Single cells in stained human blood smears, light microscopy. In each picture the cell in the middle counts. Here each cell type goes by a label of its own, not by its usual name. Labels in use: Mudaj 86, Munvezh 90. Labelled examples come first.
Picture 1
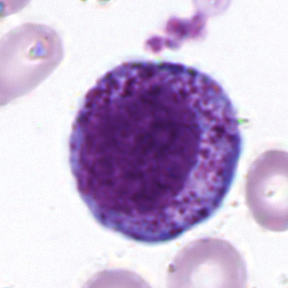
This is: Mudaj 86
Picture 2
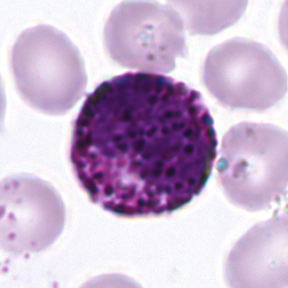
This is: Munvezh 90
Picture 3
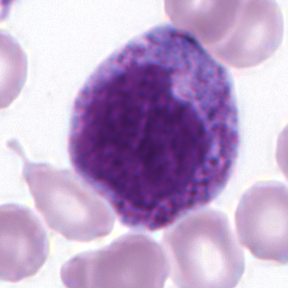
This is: Mudaj 86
